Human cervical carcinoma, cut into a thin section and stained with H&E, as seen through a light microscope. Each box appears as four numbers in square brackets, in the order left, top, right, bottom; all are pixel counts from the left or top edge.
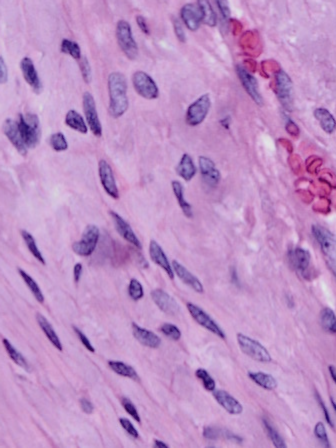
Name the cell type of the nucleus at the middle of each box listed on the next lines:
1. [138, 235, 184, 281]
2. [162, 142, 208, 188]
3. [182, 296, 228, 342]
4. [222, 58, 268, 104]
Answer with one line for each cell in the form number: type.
1: fibroblast
2: fibroblast
3: fibroblast
4: endothelial cell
